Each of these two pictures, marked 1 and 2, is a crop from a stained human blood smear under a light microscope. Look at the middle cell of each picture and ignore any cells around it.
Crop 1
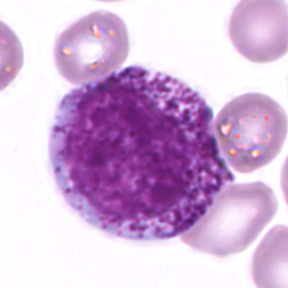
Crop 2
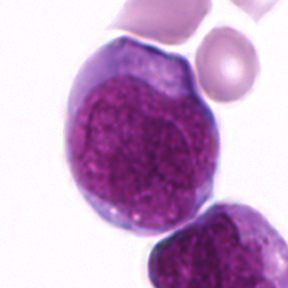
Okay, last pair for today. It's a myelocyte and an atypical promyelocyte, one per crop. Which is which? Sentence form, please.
Crops 1 and 2 are, respectively, a myelocyte and an atypical promyelocyte.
